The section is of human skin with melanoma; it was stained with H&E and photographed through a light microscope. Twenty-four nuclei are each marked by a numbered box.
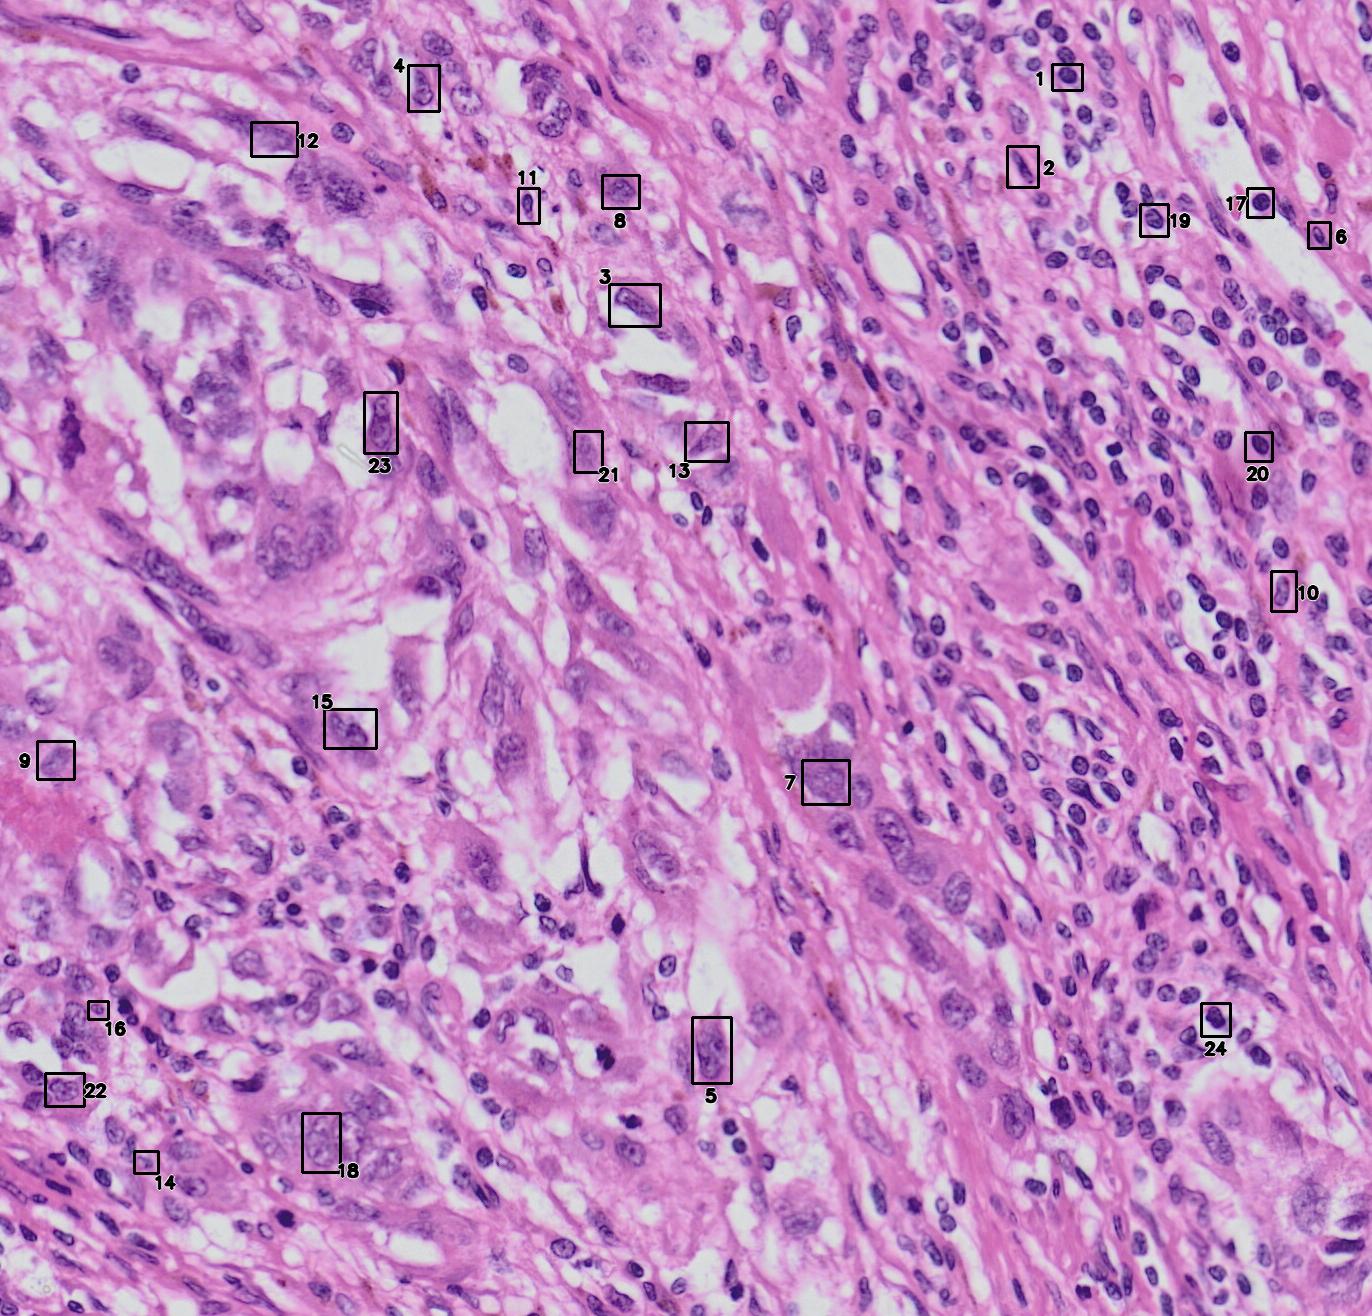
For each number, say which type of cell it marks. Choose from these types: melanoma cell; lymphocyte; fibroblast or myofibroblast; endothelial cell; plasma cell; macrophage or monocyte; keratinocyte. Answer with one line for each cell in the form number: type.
1: lymphocyte
2: lymphocyte
3: melanoma cell
4: melanoma cell
5: melanoma cell
6: macrophage or monocyte
7: melanoma cell
8: melanoma cell
9: melanoma cell
10: lymphocyte
11: lymphocyte
12: melanoma cell
13: melanoma cell
14: lymphocyte
15: melanoma cell
16: lymphocyte
17: lymphocyte
18: melanoma cell
19: lymphocyte
20: lymphocyte
21: melanoma cell
22: melanoma cell
23: melanoma cell
24: lymphocyte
